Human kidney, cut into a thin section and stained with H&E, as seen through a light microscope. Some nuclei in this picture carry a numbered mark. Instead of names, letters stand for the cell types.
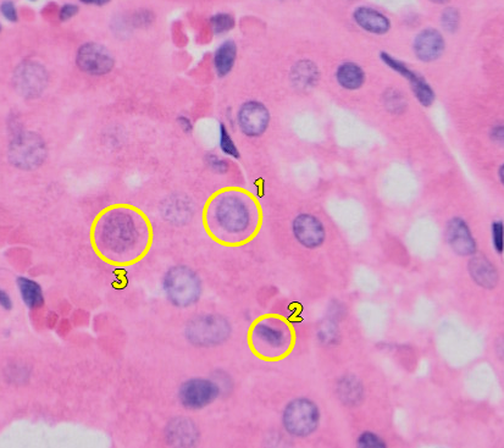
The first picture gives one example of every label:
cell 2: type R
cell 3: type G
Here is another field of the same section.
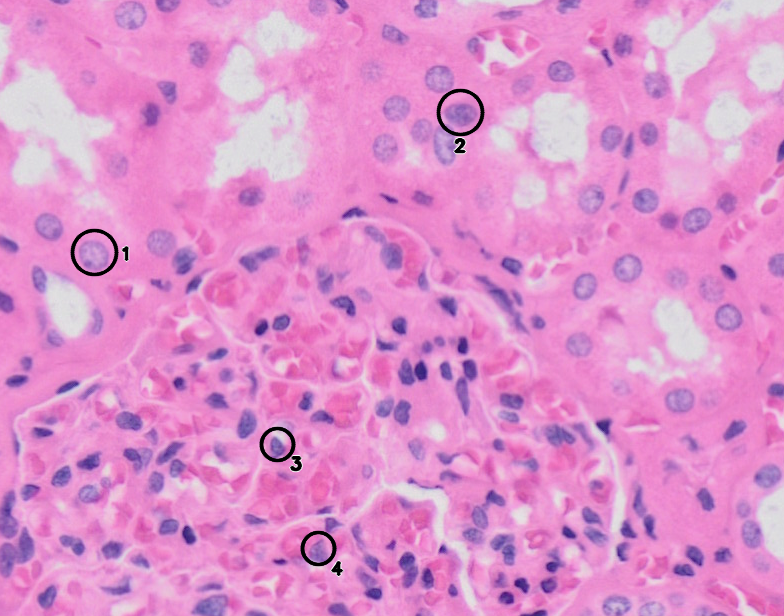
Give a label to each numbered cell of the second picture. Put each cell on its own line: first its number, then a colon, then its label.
1: type G
2: type G
3: type R
4: type R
